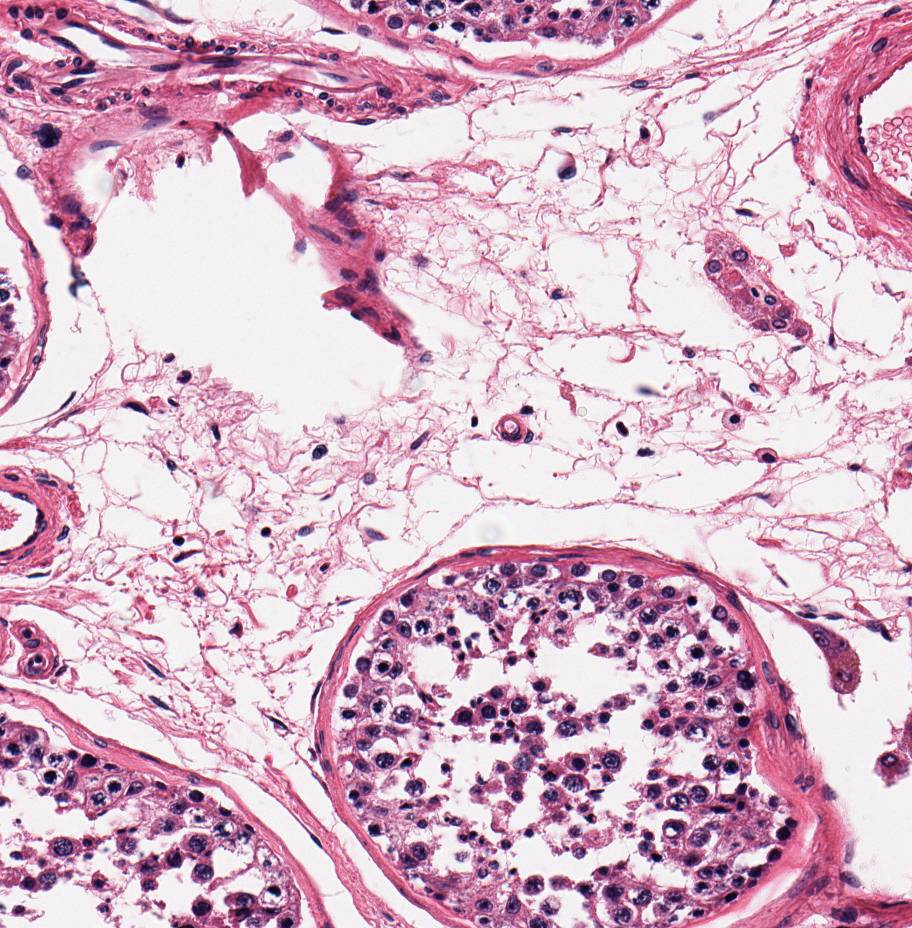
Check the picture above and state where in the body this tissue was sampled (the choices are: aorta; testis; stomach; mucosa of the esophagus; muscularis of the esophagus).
testis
